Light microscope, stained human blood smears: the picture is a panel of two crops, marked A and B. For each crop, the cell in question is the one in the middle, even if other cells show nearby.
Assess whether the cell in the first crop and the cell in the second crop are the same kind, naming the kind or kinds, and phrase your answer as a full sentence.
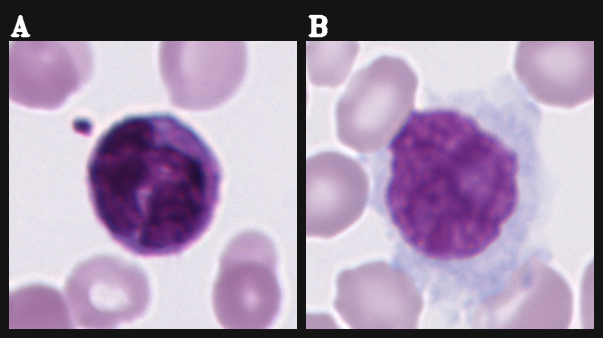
No, a monocyte is depicted by crop A, a hairy cell by crop B.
